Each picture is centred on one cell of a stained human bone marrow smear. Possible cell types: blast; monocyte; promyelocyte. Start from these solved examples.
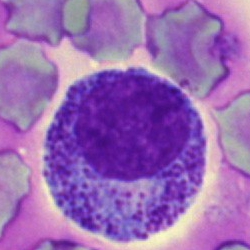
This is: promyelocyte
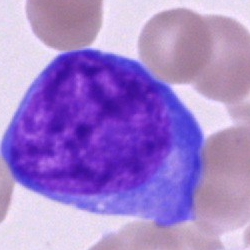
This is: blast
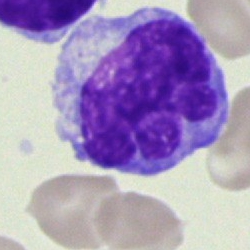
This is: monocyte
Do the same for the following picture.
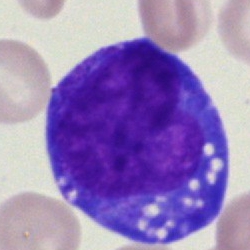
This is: blast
